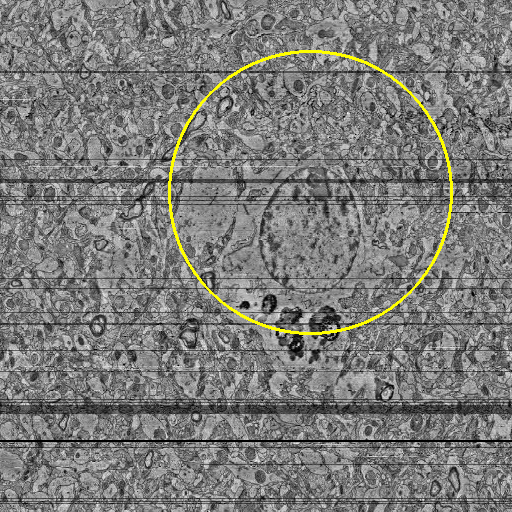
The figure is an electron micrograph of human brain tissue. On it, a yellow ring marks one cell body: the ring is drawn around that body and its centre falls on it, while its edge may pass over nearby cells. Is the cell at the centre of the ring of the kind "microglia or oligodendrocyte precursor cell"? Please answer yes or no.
no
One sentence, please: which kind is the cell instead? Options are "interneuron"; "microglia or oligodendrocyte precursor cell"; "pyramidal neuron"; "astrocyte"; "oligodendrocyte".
Instead, the cell at the centre of the yellow ring is an astrocyte.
